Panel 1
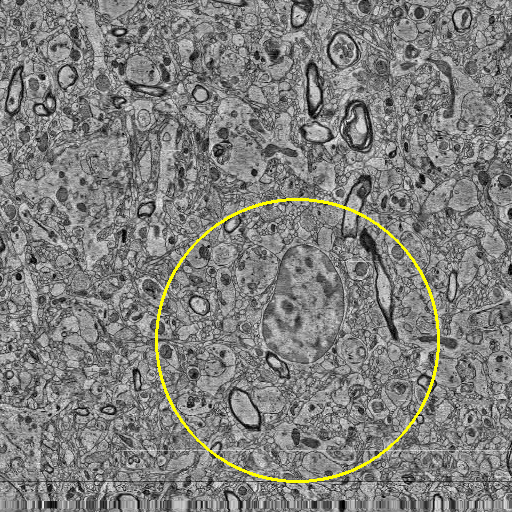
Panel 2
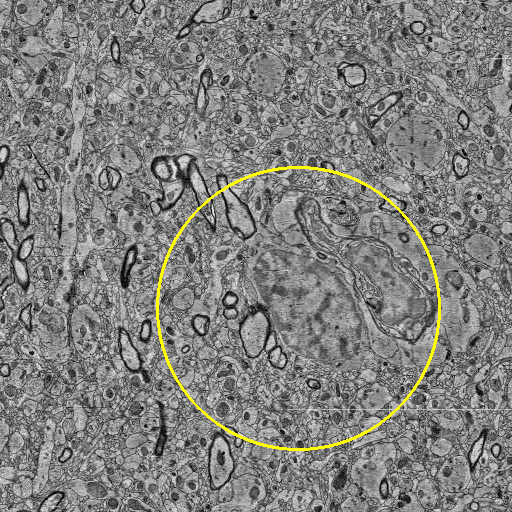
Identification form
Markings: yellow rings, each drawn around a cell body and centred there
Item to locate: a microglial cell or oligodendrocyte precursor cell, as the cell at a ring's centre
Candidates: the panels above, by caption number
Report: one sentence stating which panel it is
It is Panel 1.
